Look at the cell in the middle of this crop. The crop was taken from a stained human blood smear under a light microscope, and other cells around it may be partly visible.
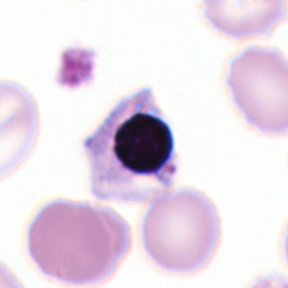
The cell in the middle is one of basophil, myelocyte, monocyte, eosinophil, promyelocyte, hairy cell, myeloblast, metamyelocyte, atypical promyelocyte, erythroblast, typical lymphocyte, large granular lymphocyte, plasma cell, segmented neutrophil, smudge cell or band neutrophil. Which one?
erythroblast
